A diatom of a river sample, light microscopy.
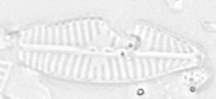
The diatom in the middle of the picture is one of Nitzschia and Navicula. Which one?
Navicula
